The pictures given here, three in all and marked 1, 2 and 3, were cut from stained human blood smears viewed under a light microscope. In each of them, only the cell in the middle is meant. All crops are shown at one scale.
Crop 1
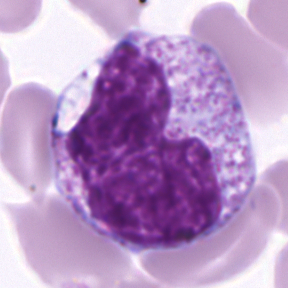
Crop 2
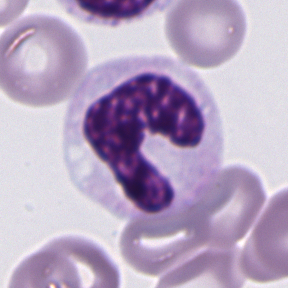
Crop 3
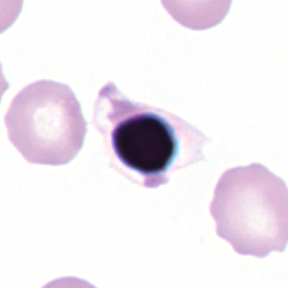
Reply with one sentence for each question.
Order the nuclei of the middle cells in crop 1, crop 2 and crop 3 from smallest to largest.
The order is 3, 2, 1, beginning with the smallest.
